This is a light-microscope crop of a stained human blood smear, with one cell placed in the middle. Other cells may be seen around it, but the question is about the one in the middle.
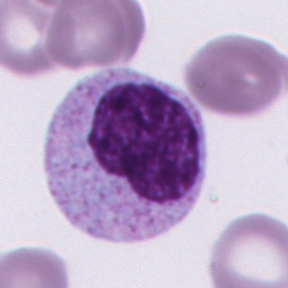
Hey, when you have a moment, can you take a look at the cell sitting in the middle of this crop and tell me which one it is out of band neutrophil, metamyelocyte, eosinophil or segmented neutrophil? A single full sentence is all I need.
This crop is built around a metamyelocyte at its centre.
